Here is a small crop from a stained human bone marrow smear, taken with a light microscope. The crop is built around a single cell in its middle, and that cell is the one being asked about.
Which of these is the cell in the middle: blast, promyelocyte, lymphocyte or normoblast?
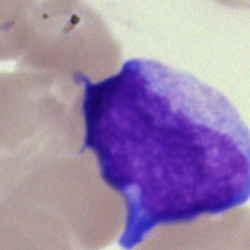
blast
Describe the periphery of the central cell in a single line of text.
Ragged or projecting, the border of this cell departs from a smooth contour.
